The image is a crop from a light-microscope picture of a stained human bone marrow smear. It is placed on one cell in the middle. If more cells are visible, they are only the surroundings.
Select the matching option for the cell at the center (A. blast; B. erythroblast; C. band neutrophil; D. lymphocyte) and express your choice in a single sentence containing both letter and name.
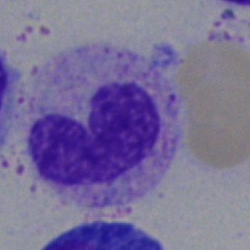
The middle of the crop contains a band neutrophil, so option C is right.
